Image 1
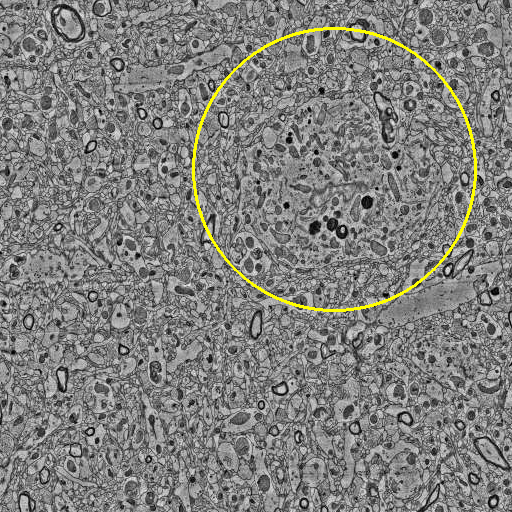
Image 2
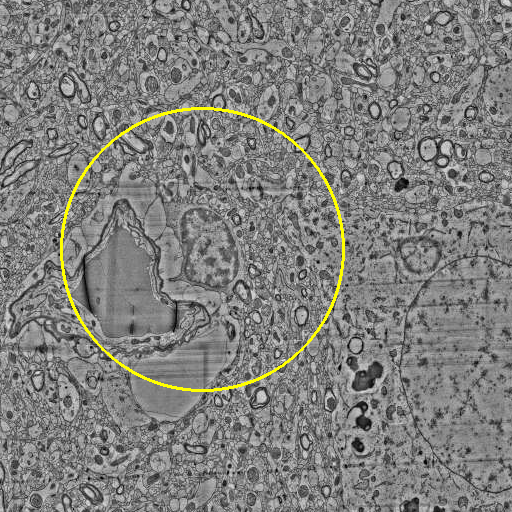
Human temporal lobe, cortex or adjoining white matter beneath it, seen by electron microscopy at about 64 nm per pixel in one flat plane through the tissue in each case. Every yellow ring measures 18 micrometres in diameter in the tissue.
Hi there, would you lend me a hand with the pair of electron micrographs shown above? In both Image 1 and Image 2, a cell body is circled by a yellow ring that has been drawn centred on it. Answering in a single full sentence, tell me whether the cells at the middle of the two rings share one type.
No, the ringed cells in Image 1 and Image 2 belong to two types.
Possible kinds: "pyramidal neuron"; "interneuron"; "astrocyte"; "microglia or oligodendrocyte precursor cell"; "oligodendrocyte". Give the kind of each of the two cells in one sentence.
The cell in the second picture is an oligodendrocyte, and that in the first is an interneuron.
